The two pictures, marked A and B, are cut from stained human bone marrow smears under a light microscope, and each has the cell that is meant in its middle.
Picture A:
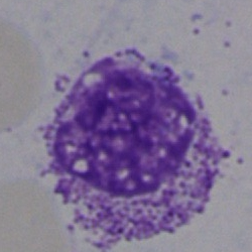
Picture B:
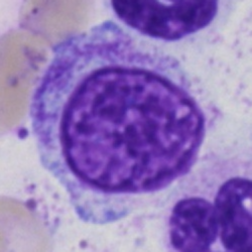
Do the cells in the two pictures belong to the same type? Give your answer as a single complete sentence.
Yes, both are myelocytes.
